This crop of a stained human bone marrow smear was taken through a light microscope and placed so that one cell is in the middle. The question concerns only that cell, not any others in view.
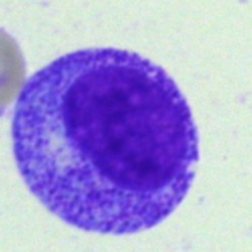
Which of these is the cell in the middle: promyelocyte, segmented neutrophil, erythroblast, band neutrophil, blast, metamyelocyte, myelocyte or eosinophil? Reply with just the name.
myelocyte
